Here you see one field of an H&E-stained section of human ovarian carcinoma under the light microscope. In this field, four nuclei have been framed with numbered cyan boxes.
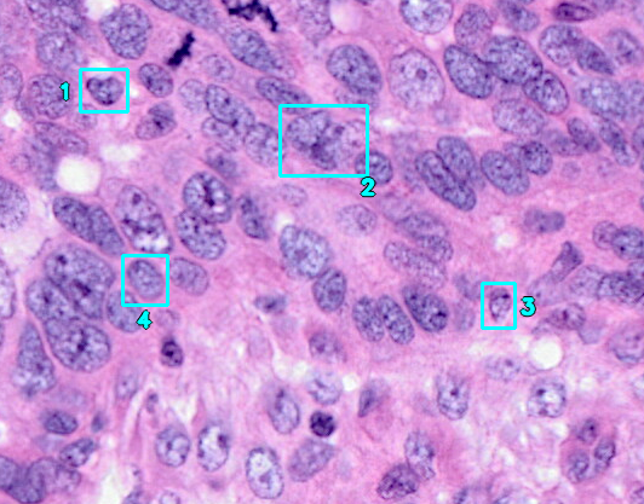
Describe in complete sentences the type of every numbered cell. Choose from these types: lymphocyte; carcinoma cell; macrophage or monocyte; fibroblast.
Cell 1 is a macrophage or monocyte, cell 2 is a carcinoma cell, cell 3 is a macrophage or monocyte and cell 4 is a carcinoma cell.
